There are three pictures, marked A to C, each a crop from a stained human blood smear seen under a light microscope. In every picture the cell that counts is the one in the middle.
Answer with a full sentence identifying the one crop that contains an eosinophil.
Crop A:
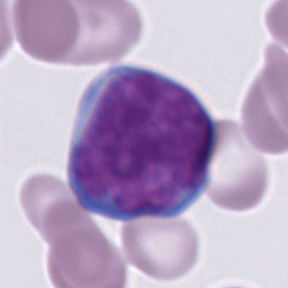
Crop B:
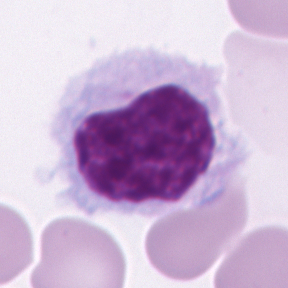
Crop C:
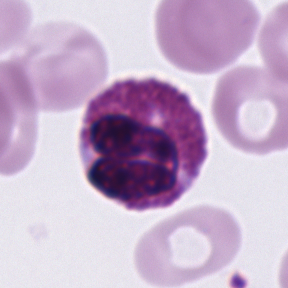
Crop C is the crop featuring an eosinophil at its center.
